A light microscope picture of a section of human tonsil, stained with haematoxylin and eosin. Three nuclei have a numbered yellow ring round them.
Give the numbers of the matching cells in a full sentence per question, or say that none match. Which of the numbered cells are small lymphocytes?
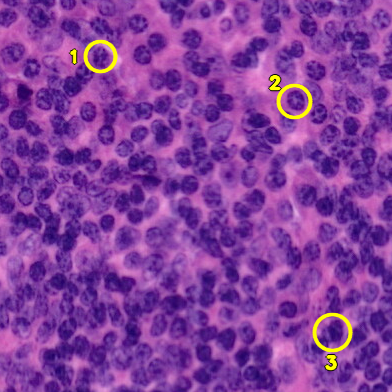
Cell 3 is a small lymphocyte, whereas each of the other numbered cells is not.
